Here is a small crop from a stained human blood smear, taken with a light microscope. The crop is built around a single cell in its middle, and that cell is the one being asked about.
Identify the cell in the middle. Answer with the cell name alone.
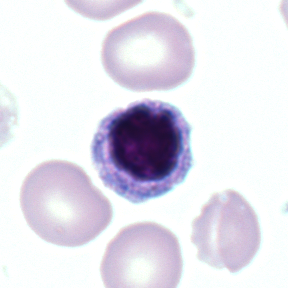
erythroblast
